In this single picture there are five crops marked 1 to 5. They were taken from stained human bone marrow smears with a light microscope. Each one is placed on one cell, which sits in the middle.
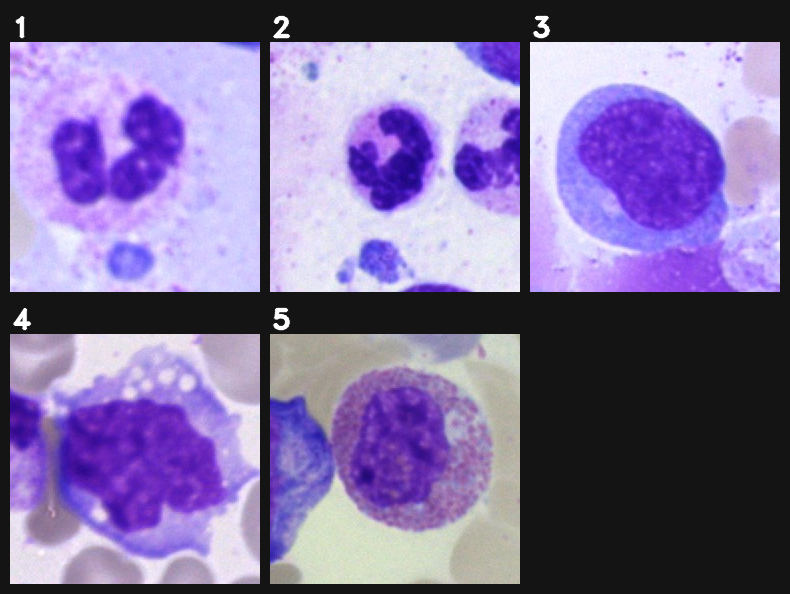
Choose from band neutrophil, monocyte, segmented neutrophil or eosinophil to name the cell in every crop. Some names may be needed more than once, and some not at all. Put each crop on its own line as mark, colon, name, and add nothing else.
1: segmented neutrophil
2: segmented neutrophil
3: monocyte
4: monocyte
5: eosinophil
